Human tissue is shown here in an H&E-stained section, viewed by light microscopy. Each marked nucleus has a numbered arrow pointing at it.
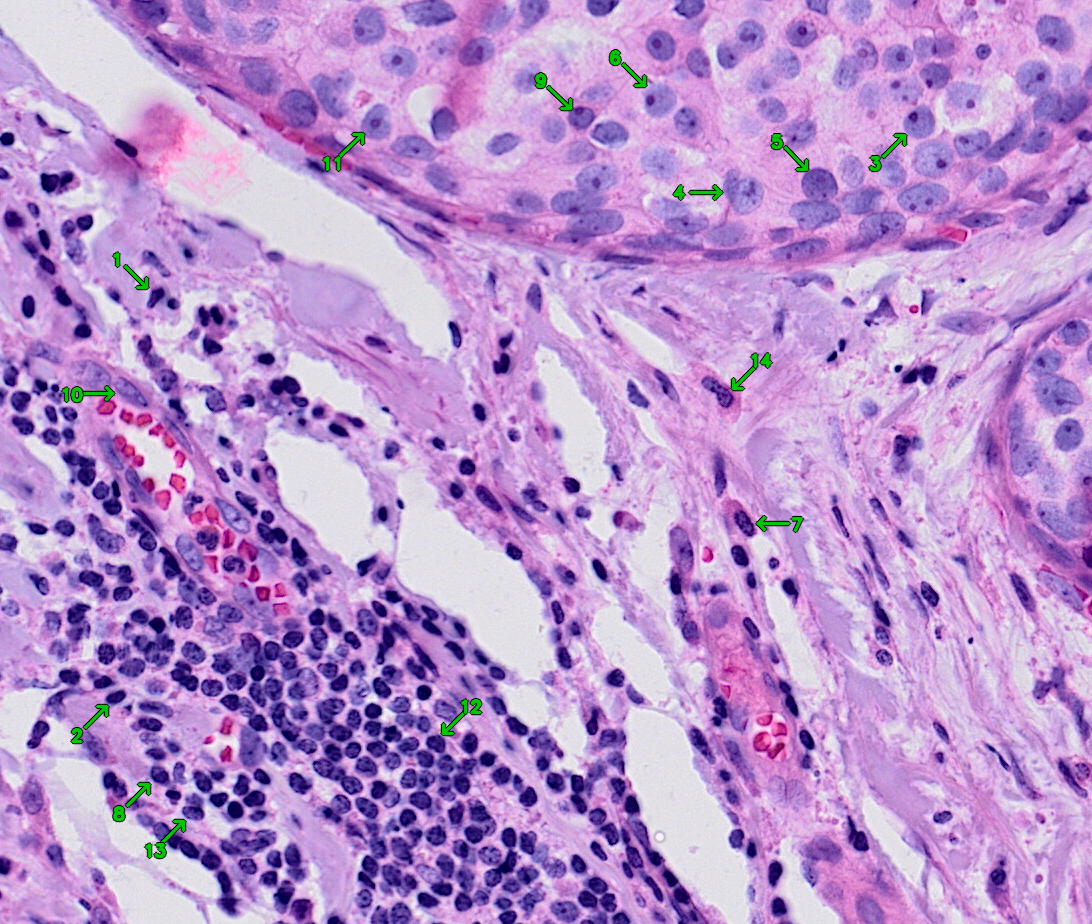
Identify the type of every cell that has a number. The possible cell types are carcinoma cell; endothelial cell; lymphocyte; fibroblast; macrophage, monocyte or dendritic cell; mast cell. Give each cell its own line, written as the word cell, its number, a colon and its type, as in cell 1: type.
cell 1: lymphocyte
cell 2: lymphocyte
cell 3: carcinoma cell
cell 4: carcinoma cell
cell 5: carcinoma cell
cell 6: carcinoma cell
cell 7: mast cell
cell 8: lymphocyte
cell 9: carcinoma cell
cell 10: endothelial cell
cell 11: carcinoma cell
cell 12: lymphocyte
cell 13: lymphocyte
cell 14: mast cell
